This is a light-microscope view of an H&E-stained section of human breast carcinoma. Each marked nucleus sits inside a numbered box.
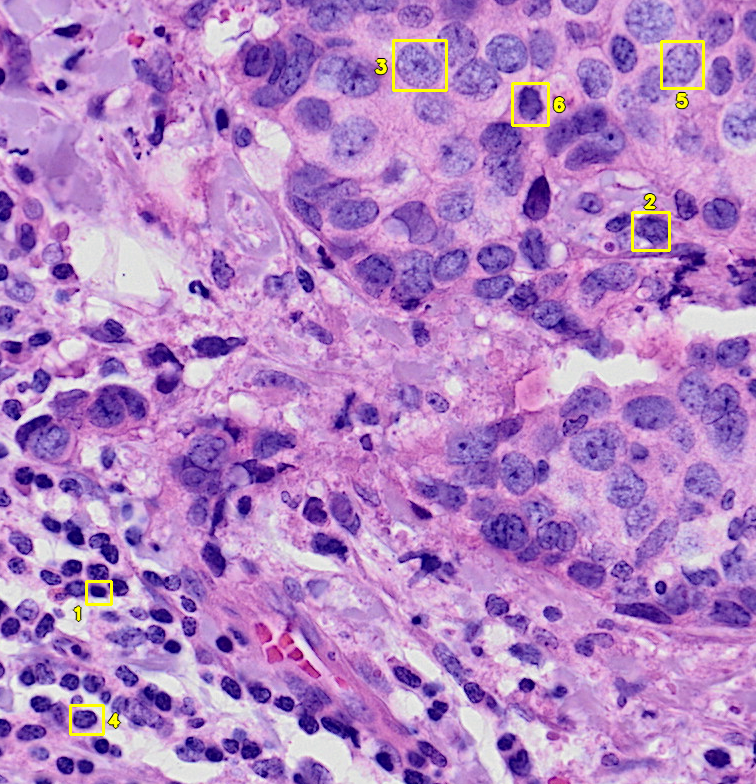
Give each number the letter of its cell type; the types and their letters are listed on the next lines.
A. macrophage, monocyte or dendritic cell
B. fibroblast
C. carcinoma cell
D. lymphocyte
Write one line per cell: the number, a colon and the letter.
1: D
2: C
3: C
4: D
5: C
6: C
